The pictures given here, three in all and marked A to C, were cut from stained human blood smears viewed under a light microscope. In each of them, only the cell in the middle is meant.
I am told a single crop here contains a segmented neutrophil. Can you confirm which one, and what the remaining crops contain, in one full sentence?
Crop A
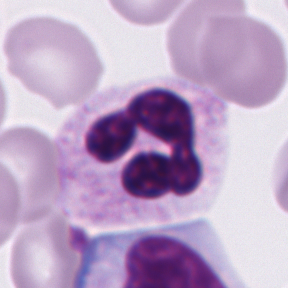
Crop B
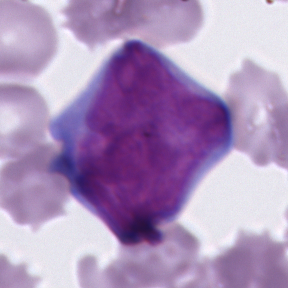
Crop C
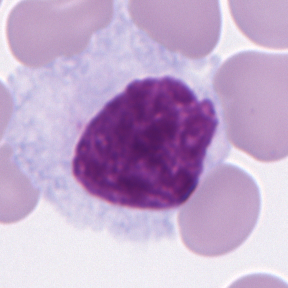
In the series, crop A depicts a segmented neutrophil, while crop B is a myeloblast and crop C is a hairy cell.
